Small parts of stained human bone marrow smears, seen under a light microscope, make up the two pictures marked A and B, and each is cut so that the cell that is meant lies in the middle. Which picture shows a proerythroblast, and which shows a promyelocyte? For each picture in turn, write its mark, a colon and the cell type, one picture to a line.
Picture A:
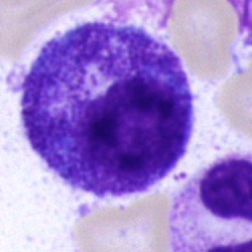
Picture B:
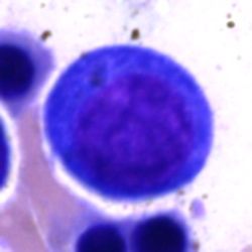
A: promyelocyte
B: proerythroblast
